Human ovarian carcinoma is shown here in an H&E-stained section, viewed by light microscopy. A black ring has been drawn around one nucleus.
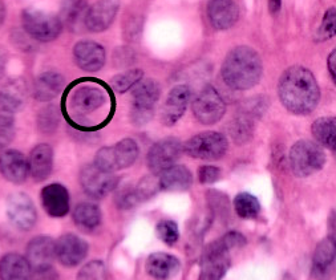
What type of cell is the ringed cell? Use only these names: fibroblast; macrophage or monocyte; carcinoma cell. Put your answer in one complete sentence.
The cell meant here is a carcinoma cell.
